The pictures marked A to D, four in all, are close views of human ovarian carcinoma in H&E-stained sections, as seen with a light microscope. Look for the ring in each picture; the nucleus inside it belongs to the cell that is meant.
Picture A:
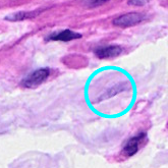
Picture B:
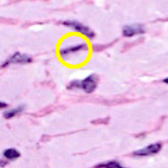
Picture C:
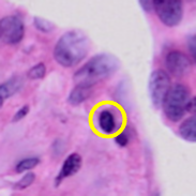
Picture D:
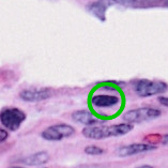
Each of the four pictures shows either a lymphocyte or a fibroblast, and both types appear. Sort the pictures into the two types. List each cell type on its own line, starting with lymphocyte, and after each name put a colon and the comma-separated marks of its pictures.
lymphocyte: C, D
fibroblast: A, B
